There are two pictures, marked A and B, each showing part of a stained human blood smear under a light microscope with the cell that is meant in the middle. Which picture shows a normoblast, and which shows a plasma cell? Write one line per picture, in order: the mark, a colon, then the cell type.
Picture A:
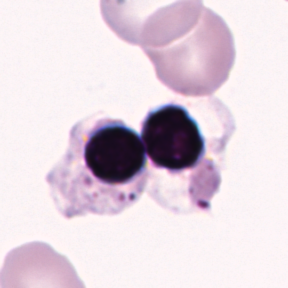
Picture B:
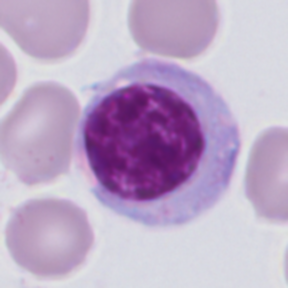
A: normoblast
B: plasma cell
